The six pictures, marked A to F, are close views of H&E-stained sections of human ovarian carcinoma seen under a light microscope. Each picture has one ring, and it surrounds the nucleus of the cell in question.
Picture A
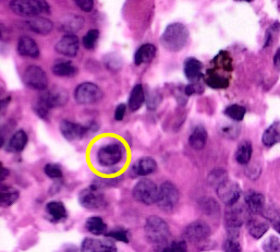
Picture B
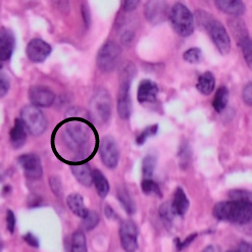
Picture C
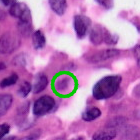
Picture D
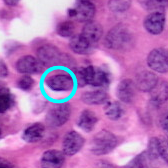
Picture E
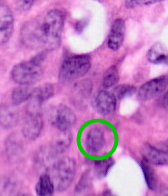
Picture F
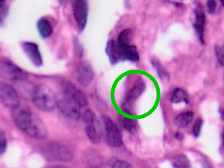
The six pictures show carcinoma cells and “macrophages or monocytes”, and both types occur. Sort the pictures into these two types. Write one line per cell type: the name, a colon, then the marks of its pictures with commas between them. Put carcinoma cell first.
carcinoma cell: B, D, E, F
macrophage or monocyte: A, C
